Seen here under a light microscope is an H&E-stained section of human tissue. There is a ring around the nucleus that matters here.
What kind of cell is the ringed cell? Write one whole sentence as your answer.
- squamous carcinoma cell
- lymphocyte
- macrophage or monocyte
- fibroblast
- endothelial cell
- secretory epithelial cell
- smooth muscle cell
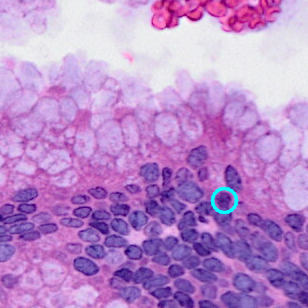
Recorded by type, the ringed cell is a secretory epithelial cell.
